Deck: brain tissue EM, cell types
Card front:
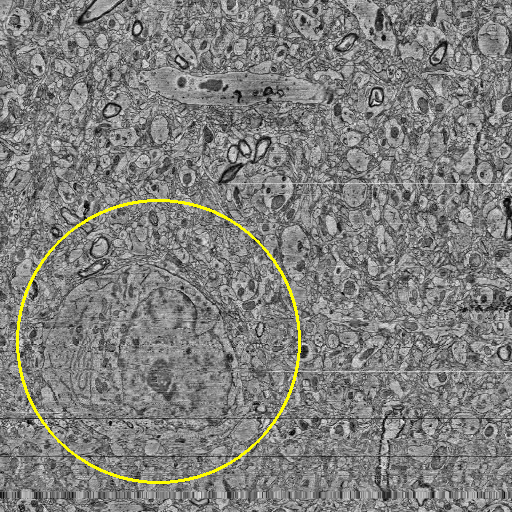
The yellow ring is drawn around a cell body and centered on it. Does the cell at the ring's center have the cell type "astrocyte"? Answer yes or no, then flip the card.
no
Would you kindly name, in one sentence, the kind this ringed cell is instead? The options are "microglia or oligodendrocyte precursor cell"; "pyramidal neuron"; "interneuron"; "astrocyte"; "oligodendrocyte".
Instead, the ring in this picture marks an interneuron.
